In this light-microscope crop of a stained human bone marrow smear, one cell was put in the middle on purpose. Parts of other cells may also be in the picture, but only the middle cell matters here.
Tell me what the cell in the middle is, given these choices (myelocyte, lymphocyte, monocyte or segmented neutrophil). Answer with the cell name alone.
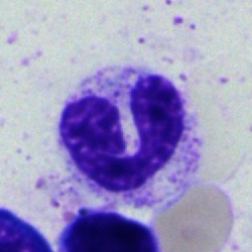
segmented neutrophil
